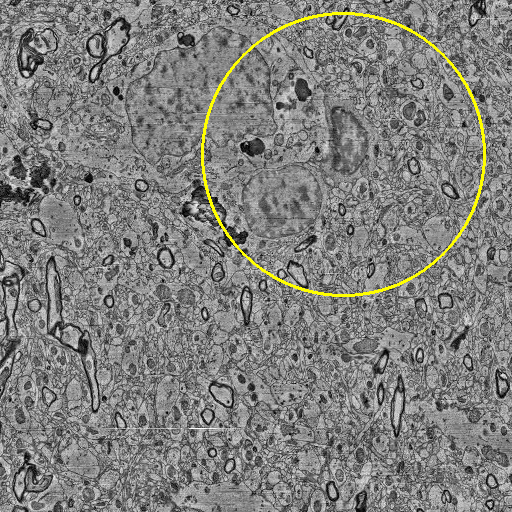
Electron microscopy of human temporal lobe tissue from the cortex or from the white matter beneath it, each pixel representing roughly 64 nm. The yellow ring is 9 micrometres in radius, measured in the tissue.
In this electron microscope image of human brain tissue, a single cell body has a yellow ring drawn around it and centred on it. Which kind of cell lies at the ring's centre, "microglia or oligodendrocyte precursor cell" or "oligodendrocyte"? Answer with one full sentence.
It is an oligodendrocyte whose cell body lies at the centre of the yellow ring here.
